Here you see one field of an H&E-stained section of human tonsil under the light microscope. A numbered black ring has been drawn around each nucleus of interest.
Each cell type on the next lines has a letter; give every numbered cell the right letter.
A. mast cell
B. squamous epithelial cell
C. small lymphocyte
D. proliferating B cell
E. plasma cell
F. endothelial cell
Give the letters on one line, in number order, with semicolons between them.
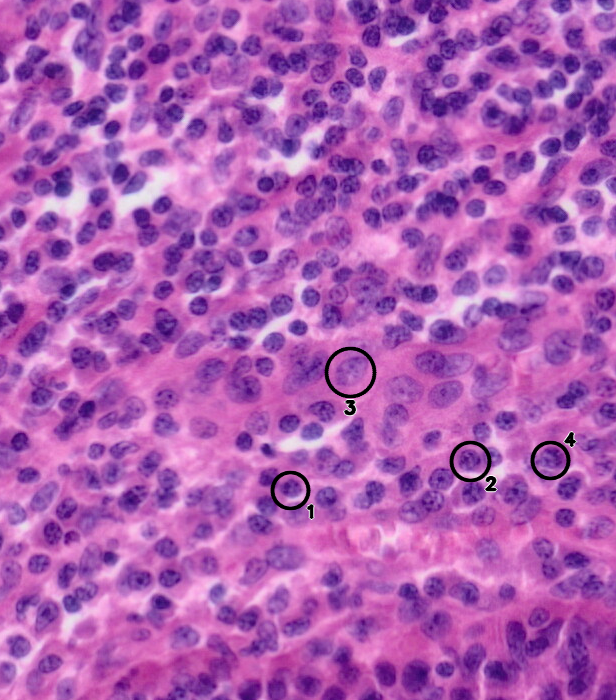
E; E; F; E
